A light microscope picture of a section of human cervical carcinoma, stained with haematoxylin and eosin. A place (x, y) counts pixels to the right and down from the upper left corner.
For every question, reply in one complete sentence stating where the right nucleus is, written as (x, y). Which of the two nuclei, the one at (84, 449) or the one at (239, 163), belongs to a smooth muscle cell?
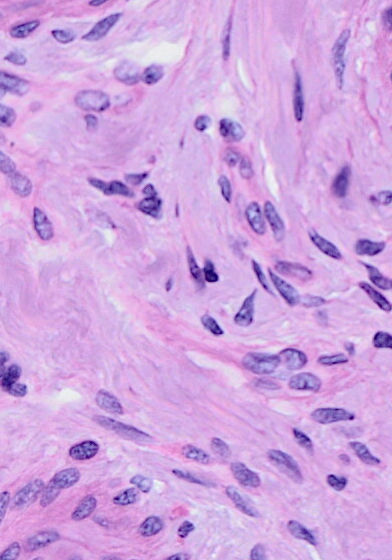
Out of the two, it is the nucleus at (84, 449) that belongs to a smooth muscle cell.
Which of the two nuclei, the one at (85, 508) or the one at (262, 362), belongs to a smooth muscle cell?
Of the pair, the nucleus positioned at (85, 508) is that of a smooth muscle cell.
